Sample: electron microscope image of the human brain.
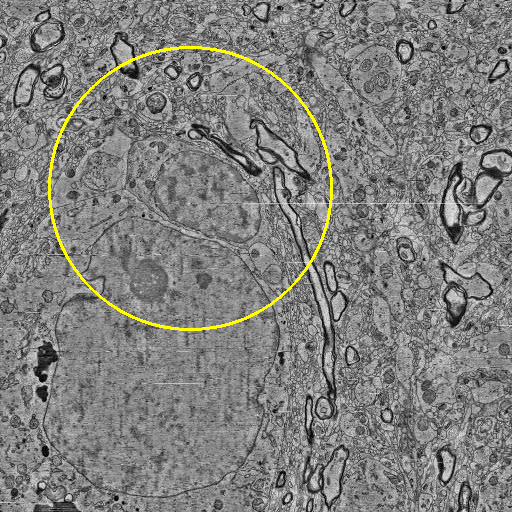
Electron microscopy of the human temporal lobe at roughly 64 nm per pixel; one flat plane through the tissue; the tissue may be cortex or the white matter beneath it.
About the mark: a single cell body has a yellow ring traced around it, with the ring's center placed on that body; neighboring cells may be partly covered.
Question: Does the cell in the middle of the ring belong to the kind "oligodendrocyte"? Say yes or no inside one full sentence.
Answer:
Yes, the cell at the ring's center in this image belongs to that kind.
